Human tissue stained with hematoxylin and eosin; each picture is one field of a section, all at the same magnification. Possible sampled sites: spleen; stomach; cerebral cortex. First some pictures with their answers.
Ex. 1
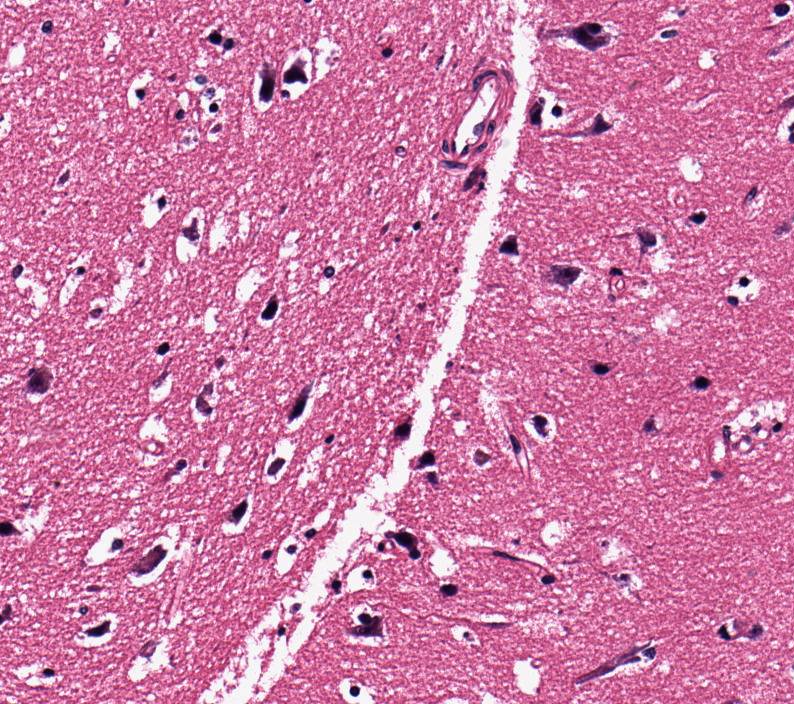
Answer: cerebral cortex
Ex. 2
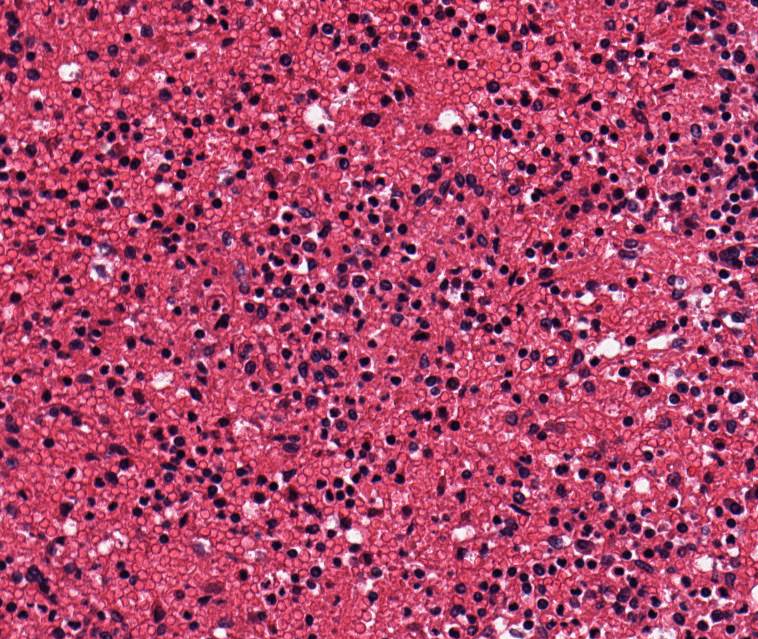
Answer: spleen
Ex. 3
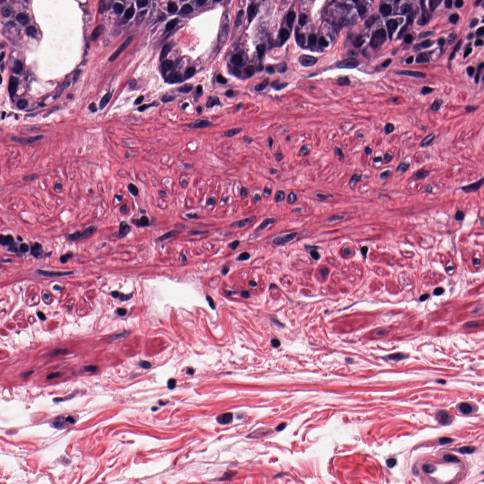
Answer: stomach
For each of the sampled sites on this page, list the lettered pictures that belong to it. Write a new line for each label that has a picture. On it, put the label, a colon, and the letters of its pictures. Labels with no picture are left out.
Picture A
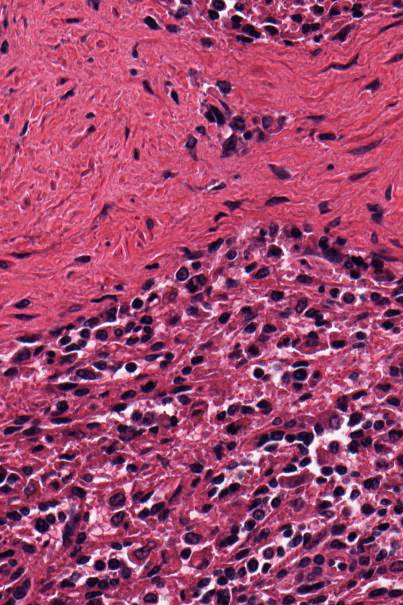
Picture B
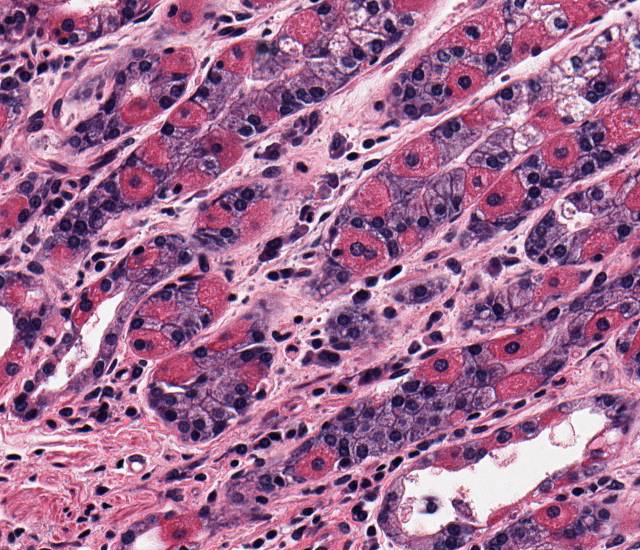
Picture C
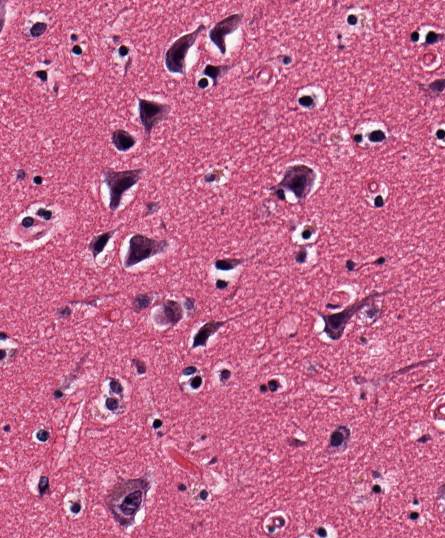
spleen: A
stomach: B
cerebral cortex: C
